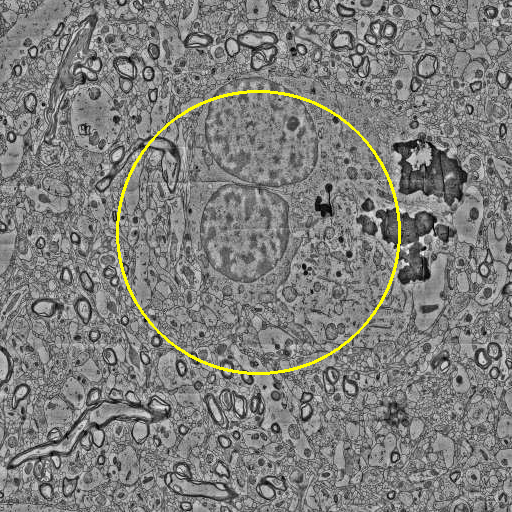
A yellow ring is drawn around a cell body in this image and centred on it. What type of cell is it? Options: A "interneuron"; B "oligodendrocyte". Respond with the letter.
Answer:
B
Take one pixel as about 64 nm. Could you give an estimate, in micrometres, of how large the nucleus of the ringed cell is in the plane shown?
In this plane the nucleus is about 6 micrometres across.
